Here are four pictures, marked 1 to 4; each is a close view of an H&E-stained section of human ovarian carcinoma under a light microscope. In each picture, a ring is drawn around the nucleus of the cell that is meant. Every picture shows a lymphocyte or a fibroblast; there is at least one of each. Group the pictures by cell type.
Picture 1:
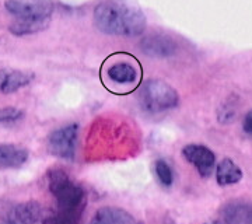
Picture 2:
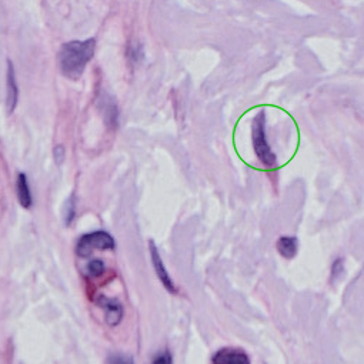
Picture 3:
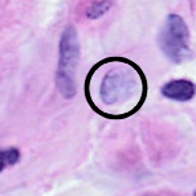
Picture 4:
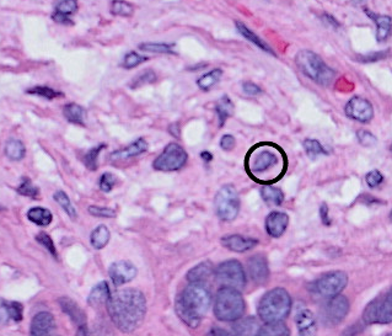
1: lymphocyte
2: fibroblast
3: fibroblast
4: fibroblast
